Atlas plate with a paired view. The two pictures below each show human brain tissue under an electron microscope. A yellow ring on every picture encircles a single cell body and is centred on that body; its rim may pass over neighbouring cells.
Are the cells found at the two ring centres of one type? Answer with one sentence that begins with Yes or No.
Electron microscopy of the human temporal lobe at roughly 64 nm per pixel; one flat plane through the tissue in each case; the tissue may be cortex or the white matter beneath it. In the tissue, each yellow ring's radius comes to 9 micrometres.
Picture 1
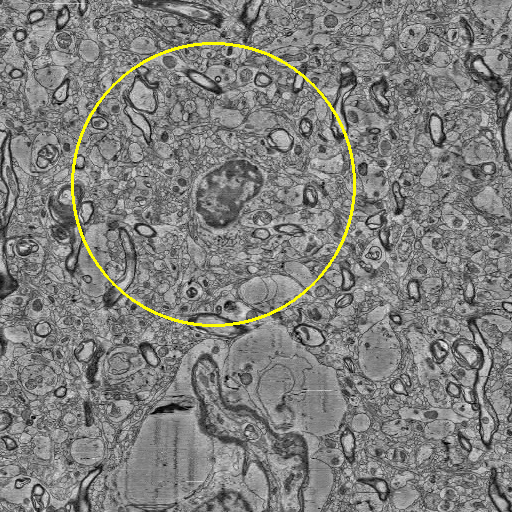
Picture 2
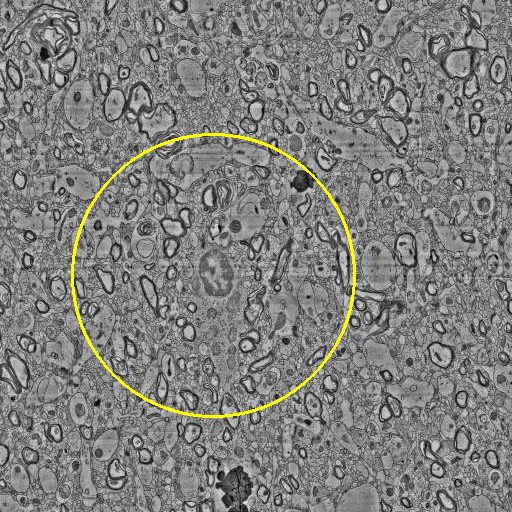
No, the two cells lying at the centres of the rings are of two types.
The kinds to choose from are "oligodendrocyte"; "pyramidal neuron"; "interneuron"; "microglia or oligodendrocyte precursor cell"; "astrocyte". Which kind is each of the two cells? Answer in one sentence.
Of the two, the first cell is a microglial cell or oligodendrocyte precursor cell and the second cell is an oligodendrocyte.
